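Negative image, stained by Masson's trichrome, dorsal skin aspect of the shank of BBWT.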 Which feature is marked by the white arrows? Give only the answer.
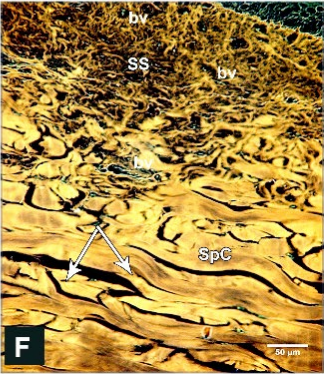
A: parallel bundles of collagen fibers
